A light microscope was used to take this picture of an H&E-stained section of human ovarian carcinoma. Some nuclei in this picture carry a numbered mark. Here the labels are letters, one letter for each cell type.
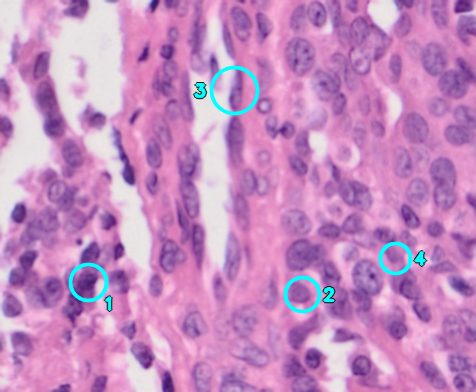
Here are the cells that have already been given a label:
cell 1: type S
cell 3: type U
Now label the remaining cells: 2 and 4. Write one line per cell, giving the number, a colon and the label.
2: type S
4: type S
